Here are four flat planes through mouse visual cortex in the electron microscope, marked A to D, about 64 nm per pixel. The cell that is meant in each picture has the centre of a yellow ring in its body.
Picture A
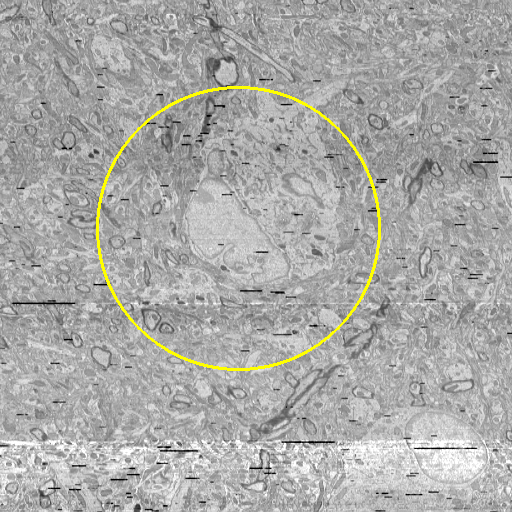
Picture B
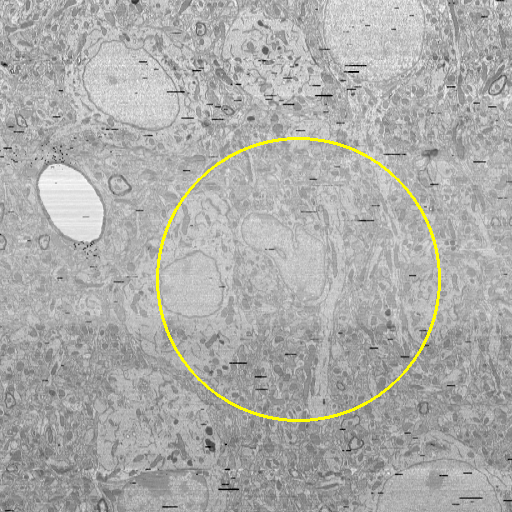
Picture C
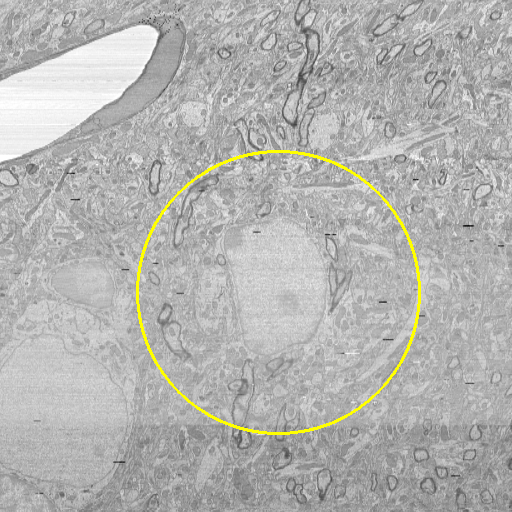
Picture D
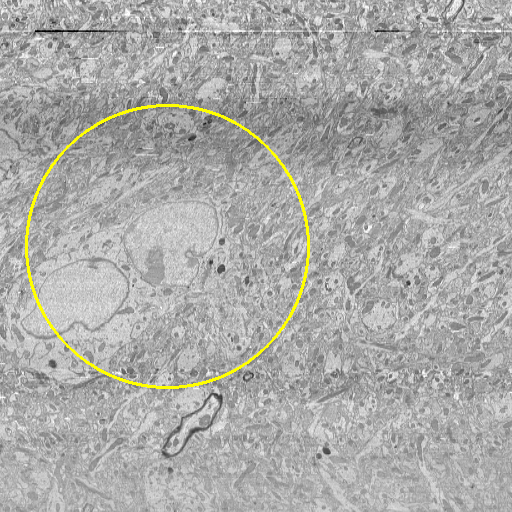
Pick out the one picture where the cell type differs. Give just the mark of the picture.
C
